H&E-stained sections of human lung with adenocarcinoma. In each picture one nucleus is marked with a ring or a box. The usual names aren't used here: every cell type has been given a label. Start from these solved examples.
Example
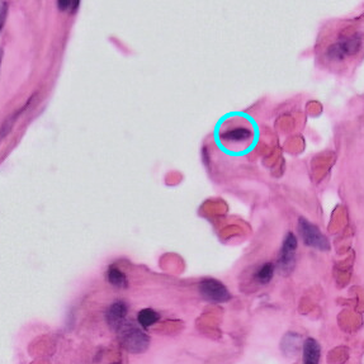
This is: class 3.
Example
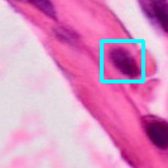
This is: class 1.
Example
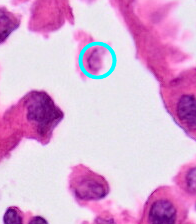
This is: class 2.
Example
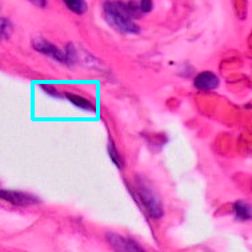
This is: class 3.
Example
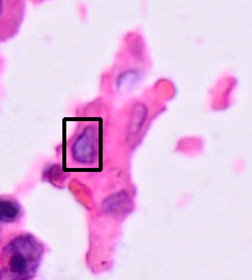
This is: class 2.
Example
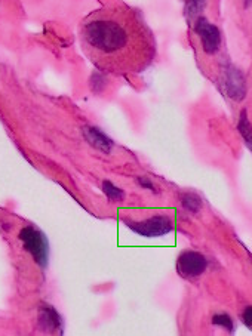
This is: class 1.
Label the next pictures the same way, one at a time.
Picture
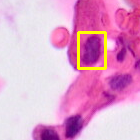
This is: class 2.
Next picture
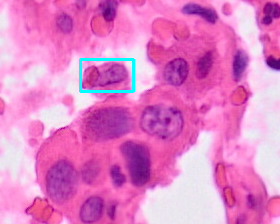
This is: class 2.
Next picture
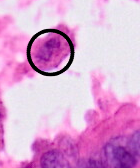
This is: class 2.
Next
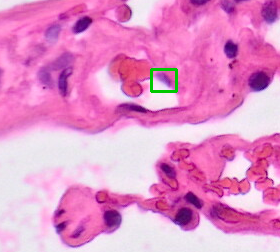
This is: class 3.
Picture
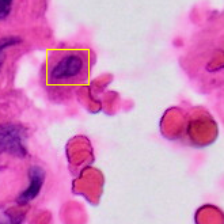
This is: class 2.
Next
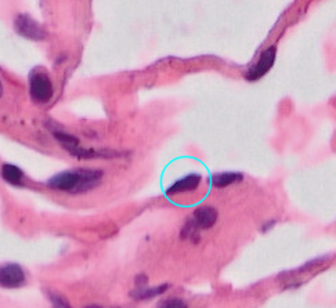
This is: class 1.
